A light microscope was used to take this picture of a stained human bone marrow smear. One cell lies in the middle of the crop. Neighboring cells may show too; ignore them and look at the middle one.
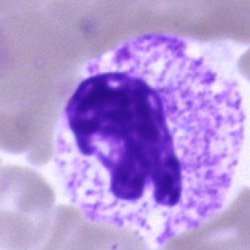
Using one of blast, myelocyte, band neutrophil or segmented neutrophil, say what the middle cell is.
segmented neutrophil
